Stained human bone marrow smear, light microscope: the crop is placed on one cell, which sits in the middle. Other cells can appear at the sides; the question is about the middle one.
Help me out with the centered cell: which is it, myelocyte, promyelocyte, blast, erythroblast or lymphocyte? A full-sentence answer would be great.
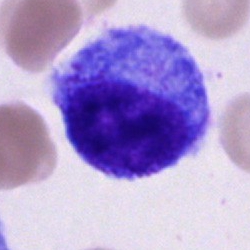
The single cell at the center of the crop is a promyelocyte.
